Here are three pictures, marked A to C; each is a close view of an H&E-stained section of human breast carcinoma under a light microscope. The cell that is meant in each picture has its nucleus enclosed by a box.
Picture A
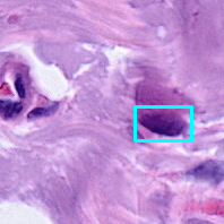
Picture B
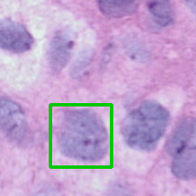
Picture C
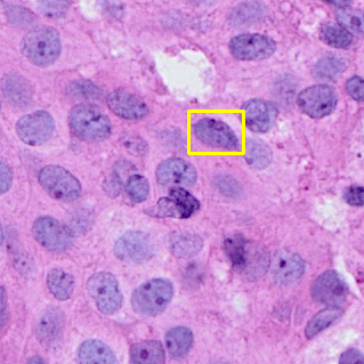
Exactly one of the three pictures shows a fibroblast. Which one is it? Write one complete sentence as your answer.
It is picture A that shows the fibroblast.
